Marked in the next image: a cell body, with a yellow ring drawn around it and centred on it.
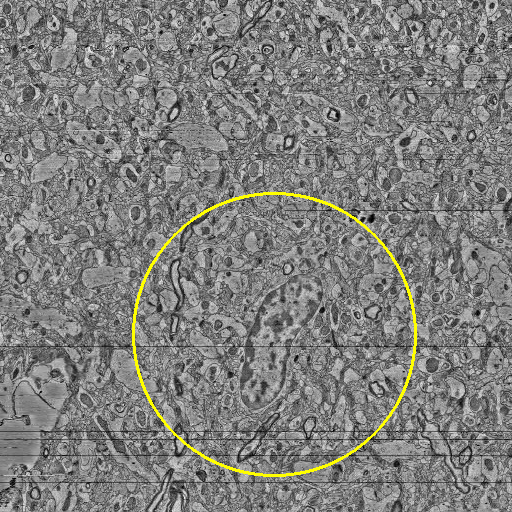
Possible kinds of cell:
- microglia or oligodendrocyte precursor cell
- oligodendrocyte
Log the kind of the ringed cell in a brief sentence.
The ringed cell body is that of a microglial cell or oligodendrocyte precursor cell.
